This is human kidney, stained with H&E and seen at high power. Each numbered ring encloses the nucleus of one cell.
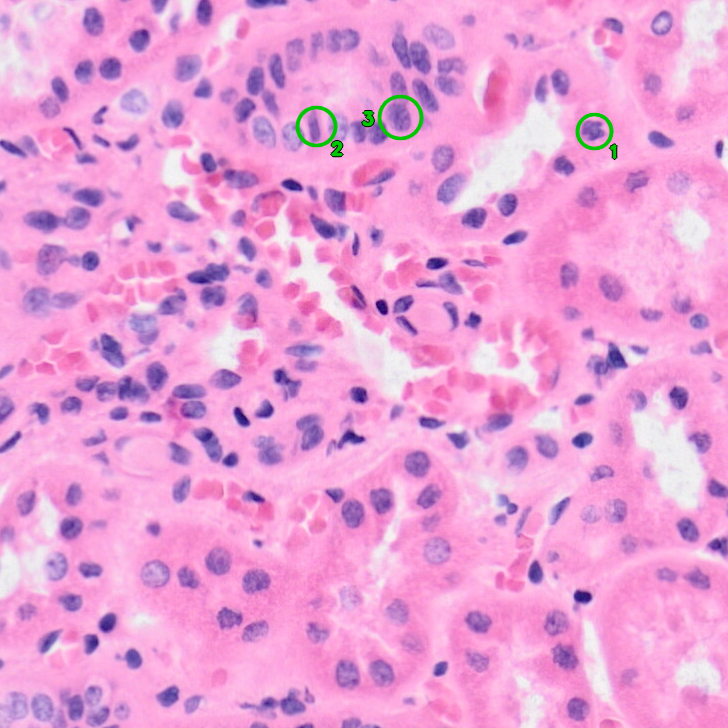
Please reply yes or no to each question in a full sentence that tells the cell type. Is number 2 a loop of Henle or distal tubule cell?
No, the cell under number 2 is a collecting duct cell instead of a loop of Henle or distal tubule cell.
